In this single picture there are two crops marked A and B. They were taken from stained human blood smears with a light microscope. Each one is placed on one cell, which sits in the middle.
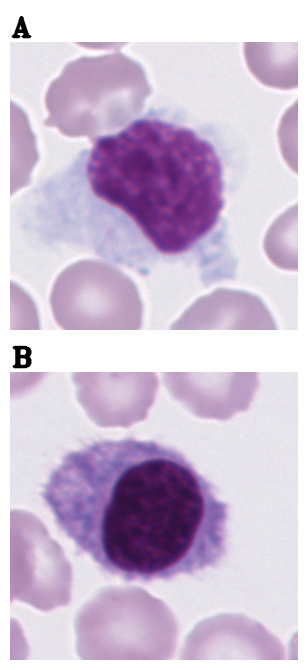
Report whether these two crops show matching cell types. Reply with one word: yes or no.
yes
